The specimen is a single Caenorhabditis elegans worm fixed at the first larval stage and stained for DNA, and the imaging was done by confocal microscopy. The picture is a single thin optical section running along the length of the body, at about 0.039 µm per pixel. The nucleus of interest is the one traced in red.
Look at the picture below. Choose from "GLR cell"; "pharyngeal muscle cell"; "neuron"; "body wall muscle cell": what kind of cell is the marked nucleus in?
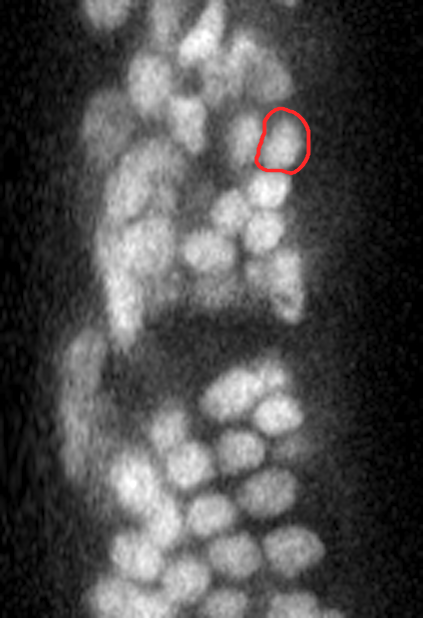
neuron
